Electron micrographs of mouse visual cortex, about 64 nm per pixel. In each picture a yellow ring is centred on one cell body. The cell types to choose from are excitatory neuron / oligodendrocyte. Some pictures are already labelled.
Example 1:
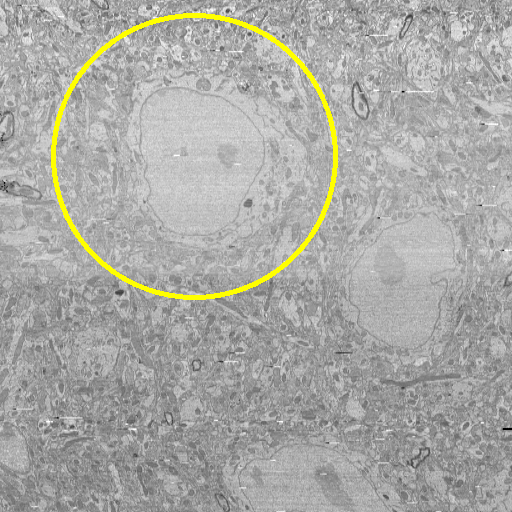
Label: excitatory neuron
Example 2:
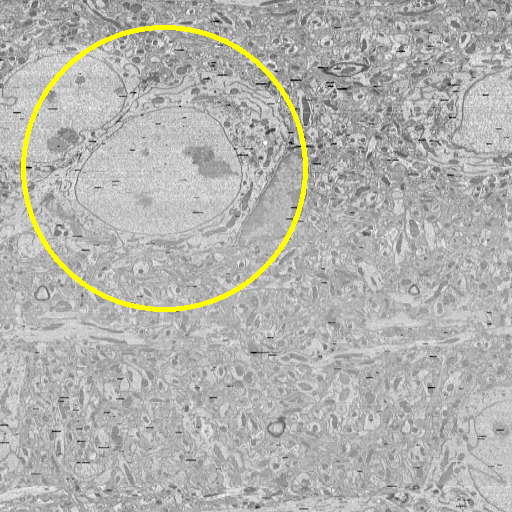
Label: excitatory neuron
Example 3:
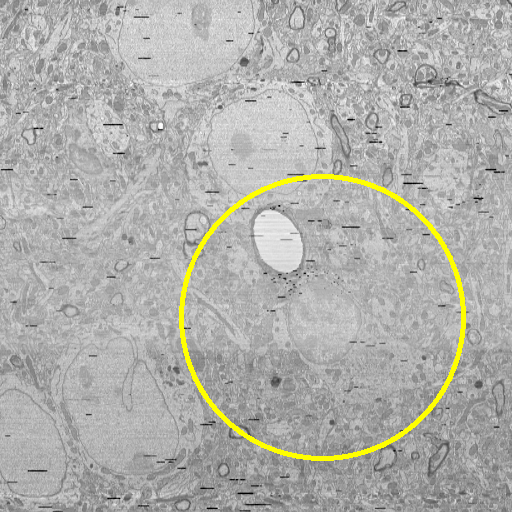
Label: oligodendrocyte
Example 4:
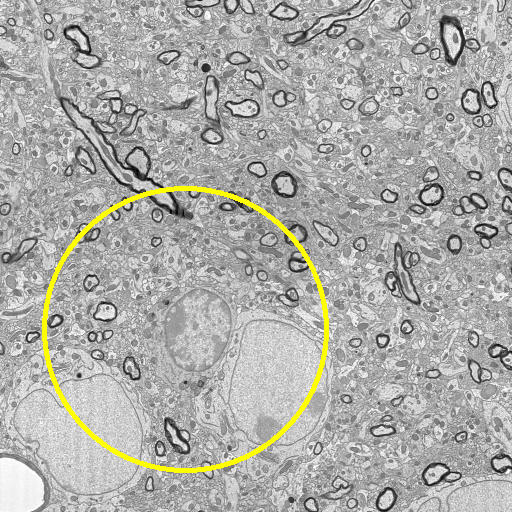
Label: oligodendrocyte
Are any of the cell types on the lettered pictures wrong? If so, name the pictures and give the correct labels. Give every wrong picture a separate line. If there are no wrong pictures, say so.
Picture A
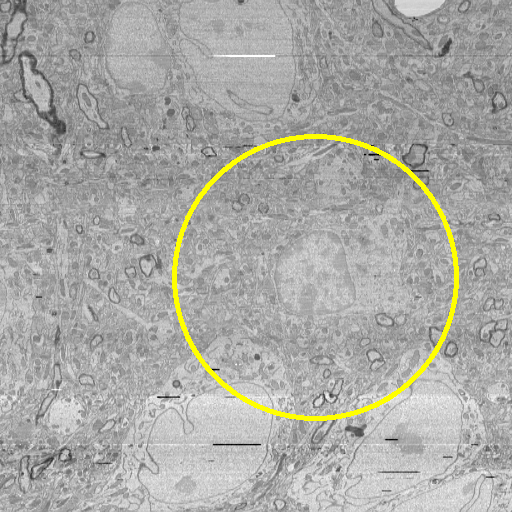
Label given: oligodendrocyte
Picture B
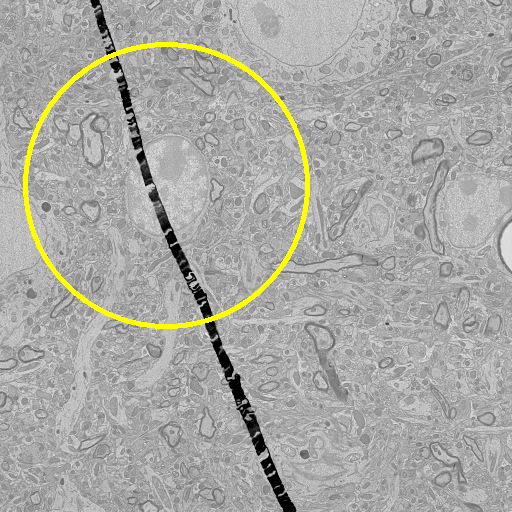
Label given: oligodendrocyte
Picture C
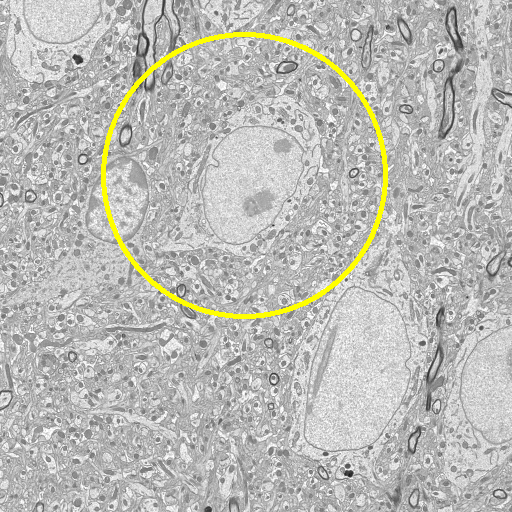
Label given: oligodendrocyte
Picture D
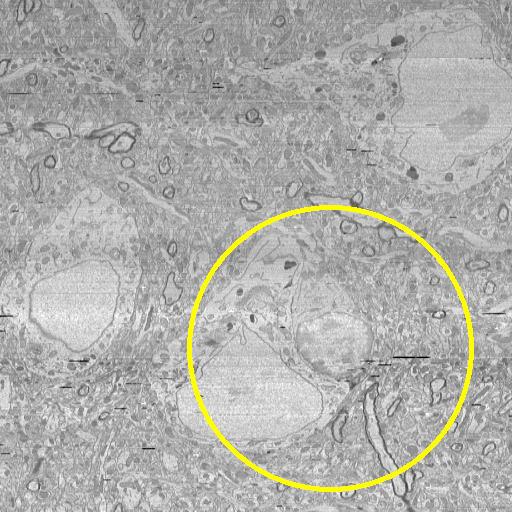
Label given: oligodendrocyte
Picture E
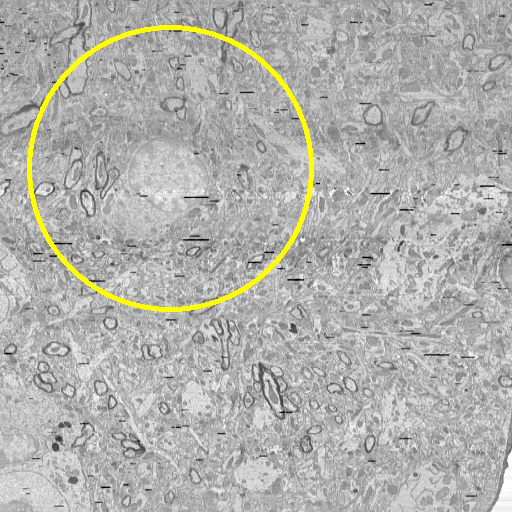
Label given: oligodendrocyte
C: excitatory neuron, not oligodendrocyte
